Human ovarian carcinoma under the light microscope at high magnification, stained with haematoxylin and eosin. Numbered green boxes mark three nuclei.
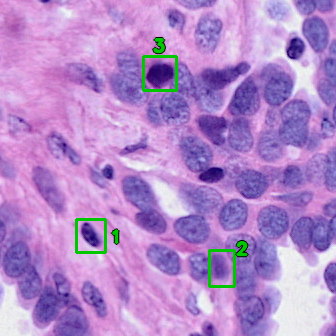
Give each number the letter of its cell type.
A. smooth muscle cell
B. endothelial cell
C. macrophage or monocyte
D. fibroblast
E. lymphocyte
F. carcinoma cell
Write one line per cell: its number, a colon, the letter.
1: E
2: F
3: F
